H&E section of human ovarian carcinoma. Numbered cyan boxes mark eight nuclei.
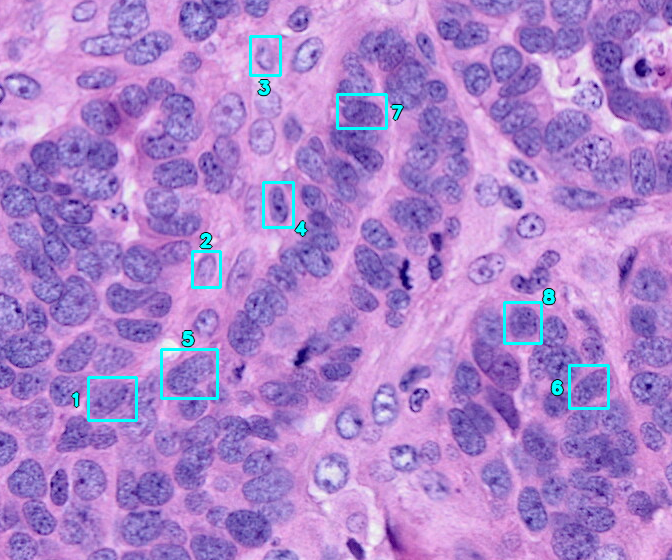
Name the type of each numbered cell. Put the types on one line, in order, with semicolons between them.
carcinoma cell; fibroblast; fibroblast; macrophage or monocyte; carcinoma cell; carcinoma cell; carcinoma cell; carcinoma cell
